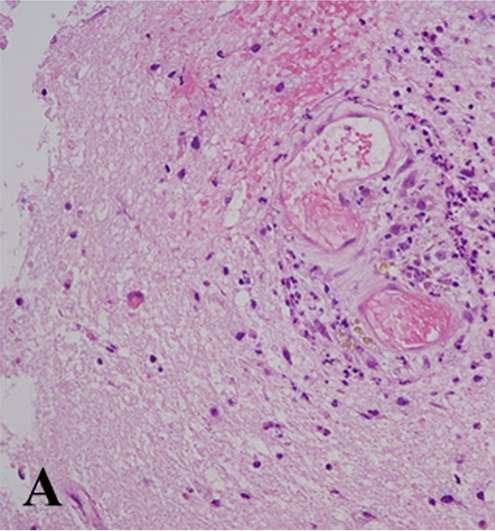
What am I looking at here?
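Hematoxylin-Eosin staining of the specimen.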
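Small arterial vessels with thick, pink, glassy walls lie in the middle of pale, finely fibrillar tissue, their lumina holding pink material and red blood cells. Around the vessels a dense cuff of cells with small dark purple nuclei crowds the wall and the tissue beside it. A few golden-brown granules lie next to the lower vessels. Above, a faint reddish area lies in the tissue near the vessels.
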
